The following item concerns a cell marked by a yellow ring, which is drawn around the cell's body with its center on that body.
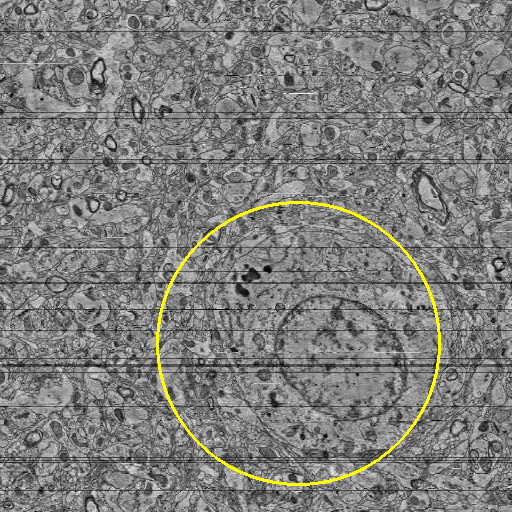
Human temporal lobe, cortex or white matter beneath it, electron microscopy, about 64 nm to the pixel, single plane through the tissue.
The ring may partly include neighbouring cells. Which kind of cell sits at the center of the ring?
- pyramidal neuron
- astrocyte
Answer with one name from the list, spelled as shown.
pyramidal neuron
